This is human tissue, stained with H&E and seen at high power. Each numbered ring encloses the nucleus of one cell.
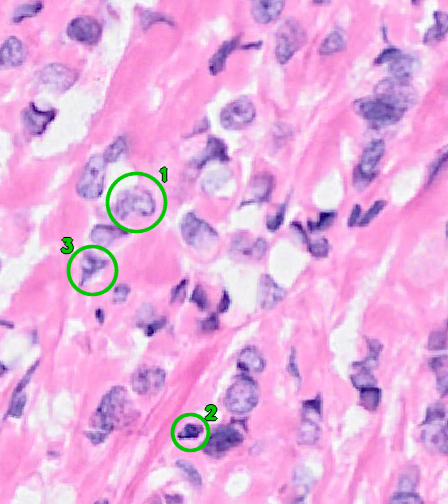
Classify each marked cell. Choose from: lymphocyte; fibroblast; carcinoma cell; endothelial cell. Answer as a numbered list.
1. carcinoma cell
2. lymphocyte
3. fibroblast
